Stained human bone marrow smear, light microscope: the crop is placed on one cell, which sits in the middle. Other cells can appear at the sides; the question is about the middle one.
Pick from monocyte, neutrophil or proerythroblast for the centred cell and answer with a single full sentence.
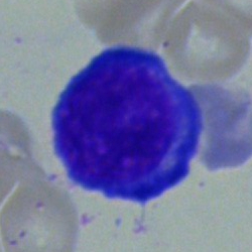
In the center of this field lies a proerythroblast.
